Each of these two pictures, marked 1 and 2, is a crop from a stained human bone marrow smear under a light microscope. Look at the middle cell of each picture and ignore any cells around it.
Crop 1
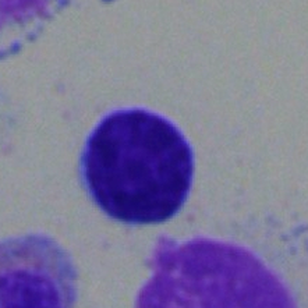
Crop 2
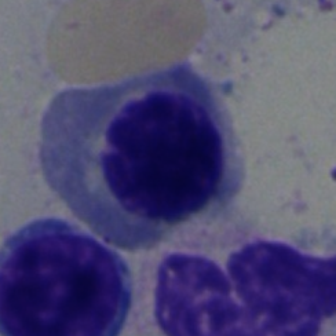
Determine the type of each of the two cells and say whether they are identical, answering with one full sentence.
No, crop 1 carries a lymphocyte and crop 2 carries an erythroblast.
